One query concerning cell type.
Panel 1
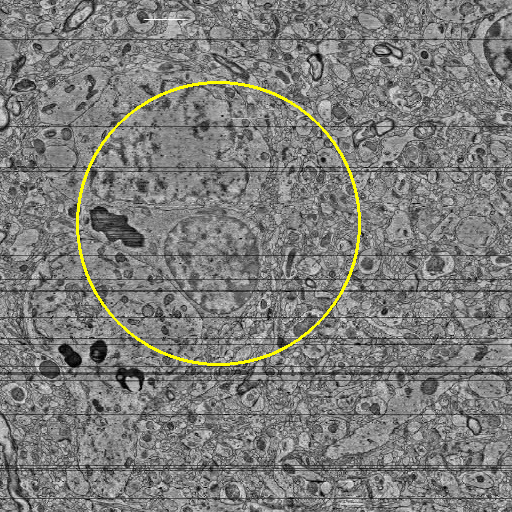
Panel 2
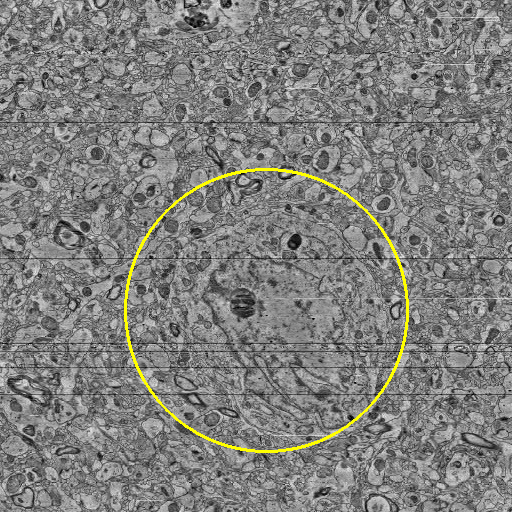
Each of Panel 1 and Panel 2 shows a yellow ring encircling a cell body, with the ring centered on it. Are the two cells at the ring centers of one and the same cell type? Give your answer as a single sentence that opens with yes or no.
No, the cell centered in Panel 1 and the one in Panel 2 are of two types.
